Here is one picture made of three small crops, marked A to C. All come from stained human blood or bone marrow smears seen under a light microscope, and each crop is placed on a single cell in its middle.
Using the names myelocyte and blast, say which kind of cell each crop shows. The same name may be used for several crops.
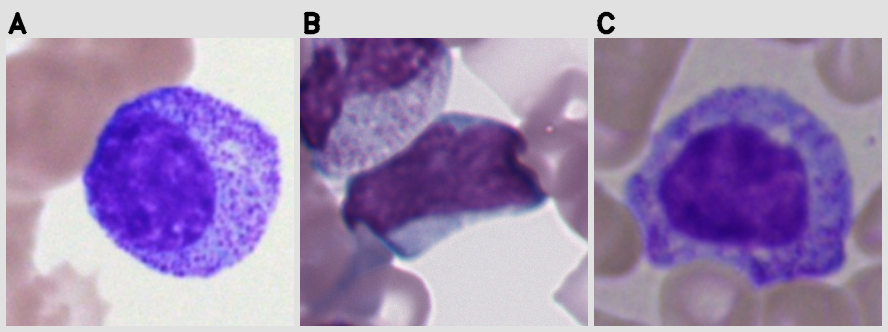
A: myelocyte
B: blast
C: myelocyte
